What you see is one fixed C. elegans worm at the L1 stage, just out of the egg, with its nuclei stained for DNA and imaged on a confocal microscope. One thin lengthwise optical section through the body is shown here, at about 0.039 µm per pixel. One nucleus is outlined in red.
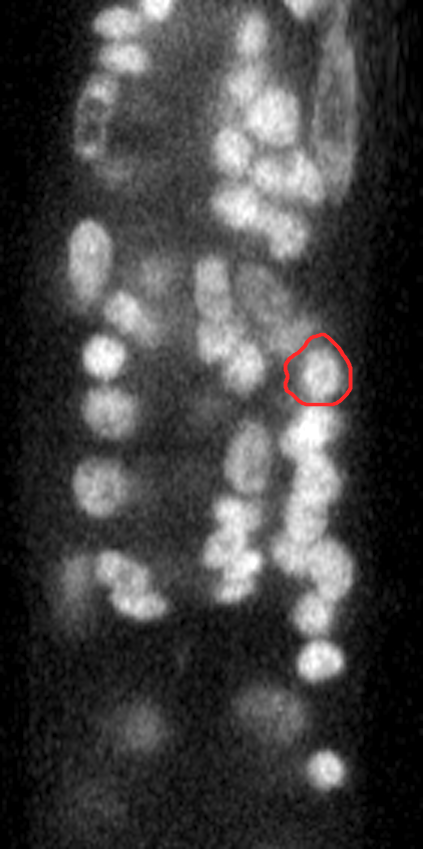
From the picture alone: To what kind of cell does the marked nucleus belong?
neuron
